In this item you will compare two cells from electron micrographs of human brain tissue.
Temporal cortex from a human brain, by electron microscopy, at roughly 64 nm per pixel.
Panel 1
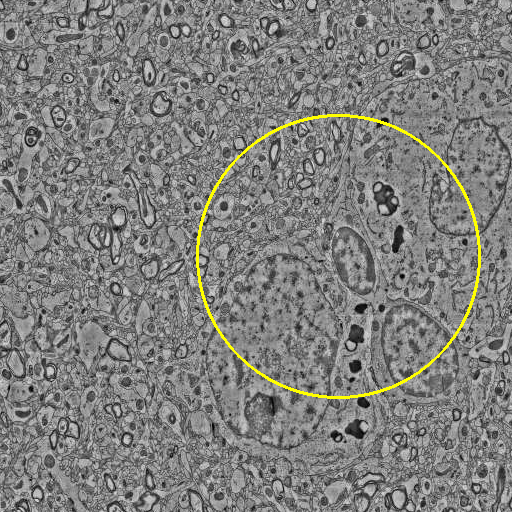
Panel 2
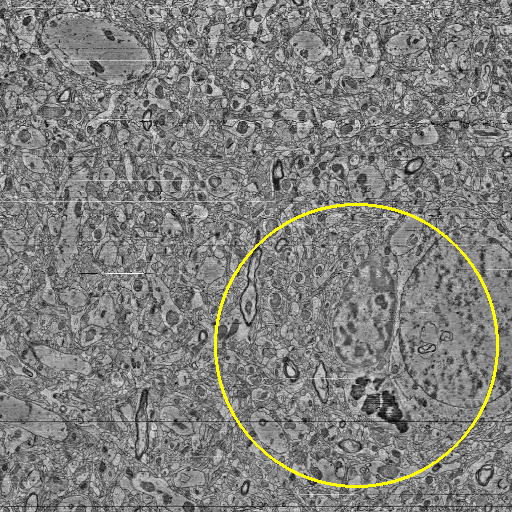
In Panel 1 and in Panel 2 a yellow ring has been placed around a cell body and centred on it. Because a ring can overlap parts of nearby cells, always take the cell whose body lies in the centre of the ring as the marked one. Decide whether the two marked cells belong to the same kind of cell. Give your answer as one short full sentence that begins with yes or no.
No, the two marked cells belong to two kinds of cell.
